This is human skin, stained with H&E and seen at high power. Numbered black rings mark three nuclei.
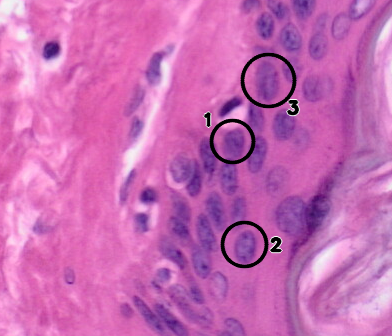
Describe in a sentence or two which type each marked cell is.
Cell 1 is a basal keratinocyte, cell 2 is a suprabasal keratinocyte and cell 3 is a basal keratinocyte.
